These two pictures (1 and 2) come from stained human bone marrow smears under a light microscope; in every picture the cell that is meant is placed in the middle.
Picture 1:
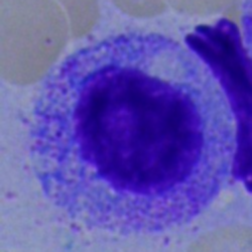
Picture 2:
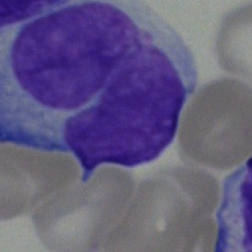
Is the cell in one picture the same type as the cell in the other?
no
